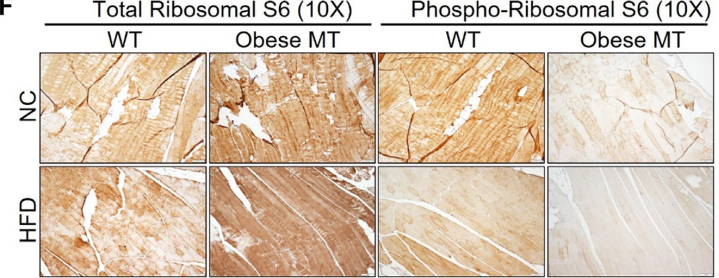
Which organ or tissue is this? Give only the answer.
muscle tissue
